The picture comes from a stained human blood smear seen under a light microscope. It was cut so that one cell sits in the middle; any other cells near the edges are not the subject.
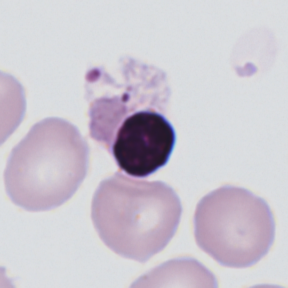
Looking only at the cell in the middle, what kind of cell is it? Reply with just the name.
normoblast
